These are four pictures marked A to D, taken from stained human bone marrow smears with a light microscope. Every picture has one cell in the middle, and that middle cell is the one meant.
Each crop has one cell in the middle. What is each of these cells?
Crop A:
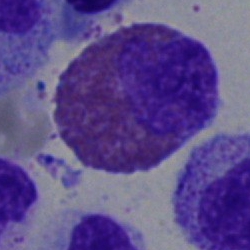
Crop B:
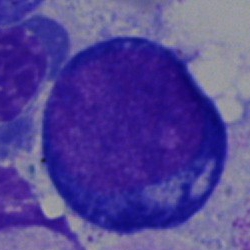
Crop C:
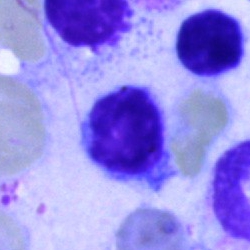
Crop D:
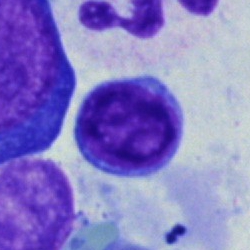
A: eosinophil
B: proerythroblast
C: lymphocyte
D: lymphocyte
